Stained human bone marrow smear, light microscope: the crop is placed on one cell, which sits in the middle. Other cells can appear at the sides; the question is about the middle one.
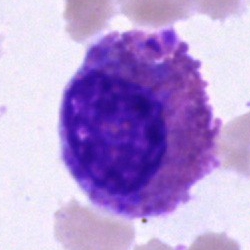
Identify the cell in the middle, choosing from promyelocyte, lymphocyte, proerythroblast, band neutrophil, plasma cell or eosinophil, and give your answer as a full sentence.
Seen at the centre of the crop is an eosinophil.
